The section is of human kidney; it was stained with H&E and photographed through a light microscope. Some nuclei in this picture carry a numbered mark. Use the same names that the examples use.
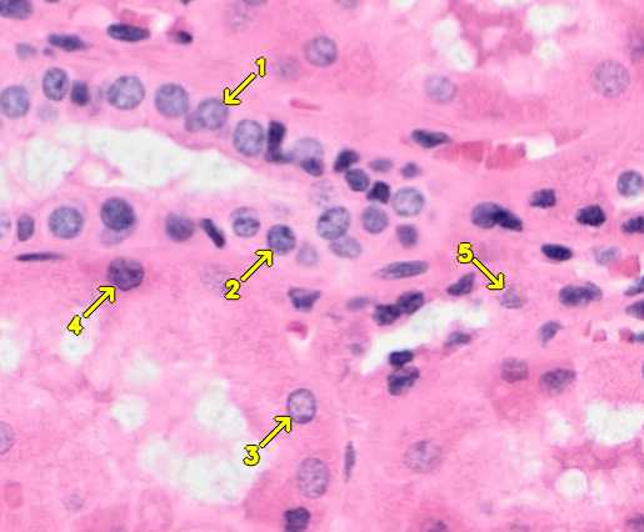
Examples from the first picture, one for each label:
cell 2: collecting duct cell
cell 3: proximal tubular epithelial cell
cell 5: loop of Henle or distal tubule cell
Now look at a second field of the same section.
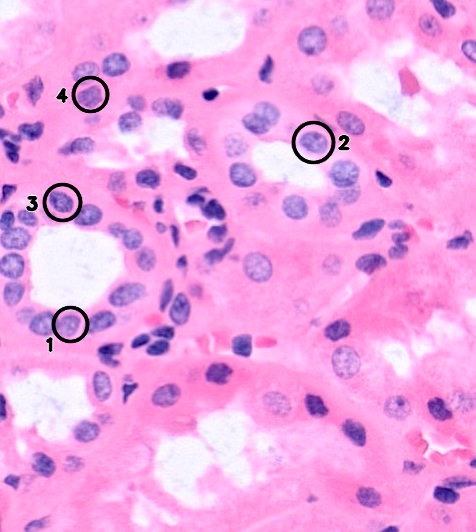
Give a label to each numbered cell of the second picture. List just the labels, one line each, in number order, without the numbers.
collecting duct cell
collecting duct cell
collecting duct cell
loop of Henle or distal tubule cell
